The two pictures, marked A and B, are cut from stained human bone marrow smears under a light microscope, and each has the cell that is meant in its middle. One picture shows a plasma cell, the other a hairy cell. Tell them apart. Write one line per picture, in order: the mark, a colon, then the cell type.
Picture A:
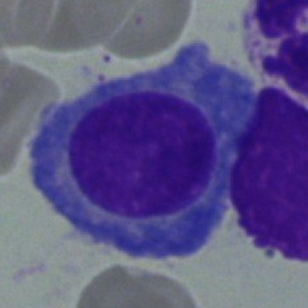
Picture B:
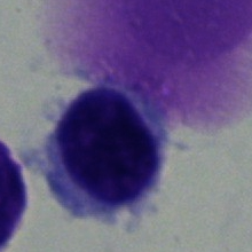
A: plasma cell
B: hairy cell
